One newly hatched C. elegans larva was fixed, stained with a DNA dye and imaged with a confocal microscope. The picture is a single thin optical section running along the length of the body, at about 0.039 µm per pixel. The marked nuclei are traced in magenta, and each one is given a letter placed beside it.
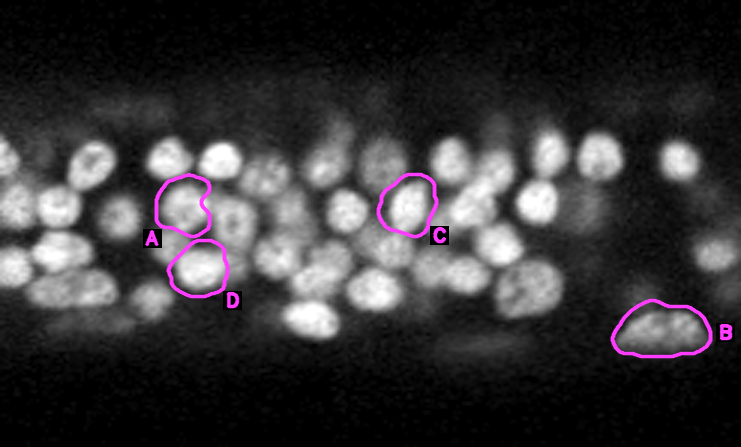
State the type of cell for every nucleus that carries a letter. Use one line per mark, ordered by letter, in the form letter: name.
A: neuron
B: body wall muscle cell
C: neuron
D: neuron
